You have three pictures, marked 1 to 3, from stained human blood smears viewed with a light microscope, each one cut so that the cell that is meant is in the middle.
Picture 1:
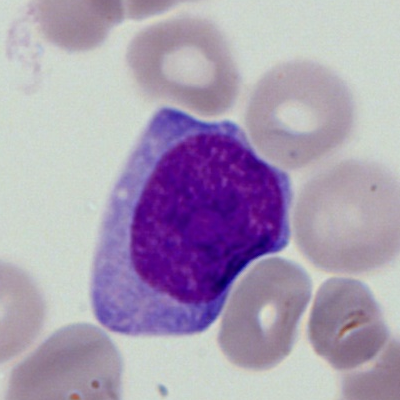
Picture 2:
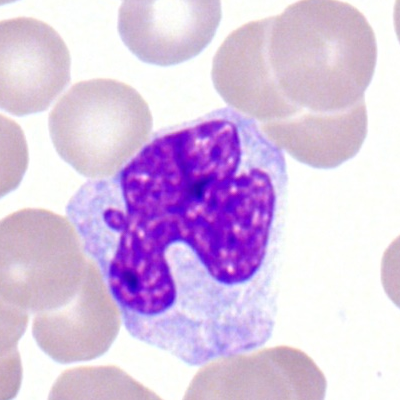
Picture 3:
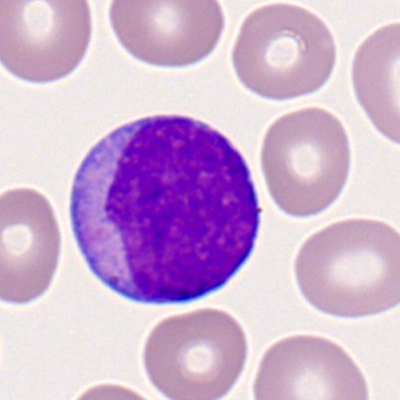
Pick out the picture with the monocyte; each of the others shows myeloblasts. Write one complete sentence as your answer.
The cell in picture 2 is the monocyte.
